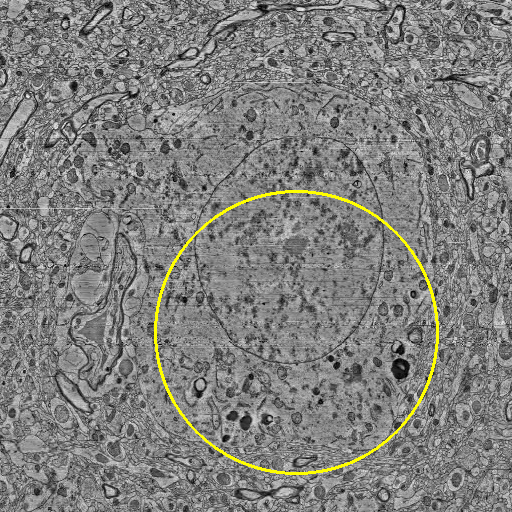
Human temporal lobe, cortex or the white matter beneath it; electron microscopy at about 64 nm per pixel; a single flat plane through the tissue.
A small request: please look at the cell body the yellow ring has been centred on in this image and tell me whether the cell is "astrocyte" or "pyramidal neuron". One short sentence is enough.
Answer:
The cell marked by the ring is a pyramidal neuron.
